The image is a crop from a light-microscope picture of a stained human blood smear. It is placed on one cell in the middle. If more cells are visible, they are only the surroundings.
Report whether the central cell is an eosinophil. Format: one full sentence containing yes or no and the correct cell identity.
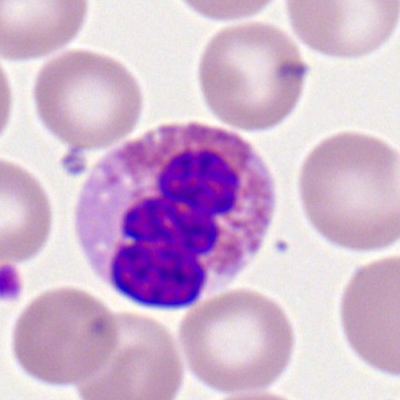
Yes, what sits in the centre of the crop is an eosinophil.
